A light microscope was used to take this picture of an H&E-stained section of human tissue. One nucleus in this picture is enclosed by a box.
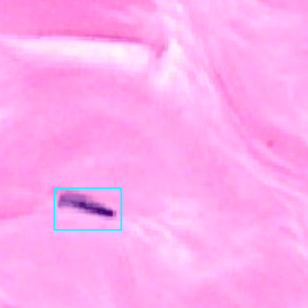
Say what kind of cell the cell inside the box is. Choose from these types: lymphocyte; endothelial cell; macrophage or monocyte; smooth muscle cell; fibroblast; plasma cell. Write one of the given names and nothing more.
fibroblast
